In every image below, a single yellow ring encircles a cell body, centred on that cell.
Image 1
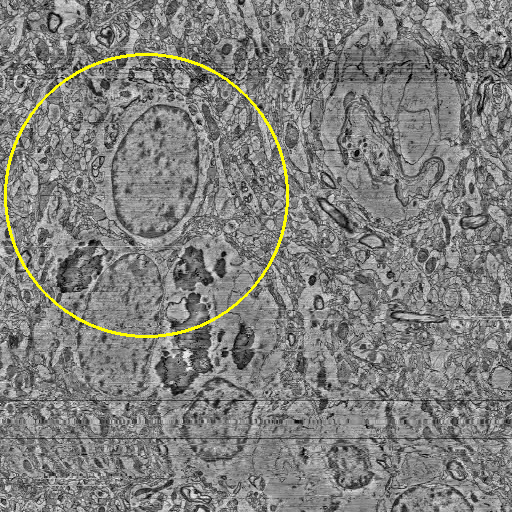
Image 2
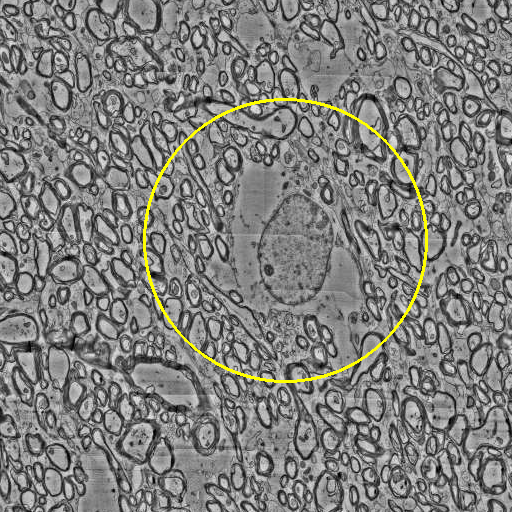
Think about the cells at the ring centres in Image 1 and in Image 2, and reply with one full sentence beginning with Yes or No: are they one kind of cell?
Yes, the cells centred in the rings of Image 1 and Image 2 are one kind of cell.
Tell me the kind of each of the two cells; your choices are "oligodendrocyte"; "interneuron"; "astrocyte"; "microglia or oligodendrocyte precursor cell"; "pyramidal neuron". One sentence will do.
Each cell at the centre of a ring is an astrocyte.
